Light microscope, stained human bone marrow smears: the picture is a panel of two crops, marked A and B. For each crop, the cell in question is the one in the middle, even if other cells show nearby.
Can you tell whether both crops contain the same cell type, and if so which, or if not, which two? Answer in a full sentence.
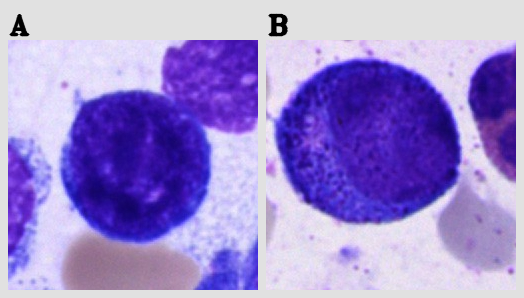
No, the cell of interest in crop A is a blast, and in crop B it is a promyelocyte.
